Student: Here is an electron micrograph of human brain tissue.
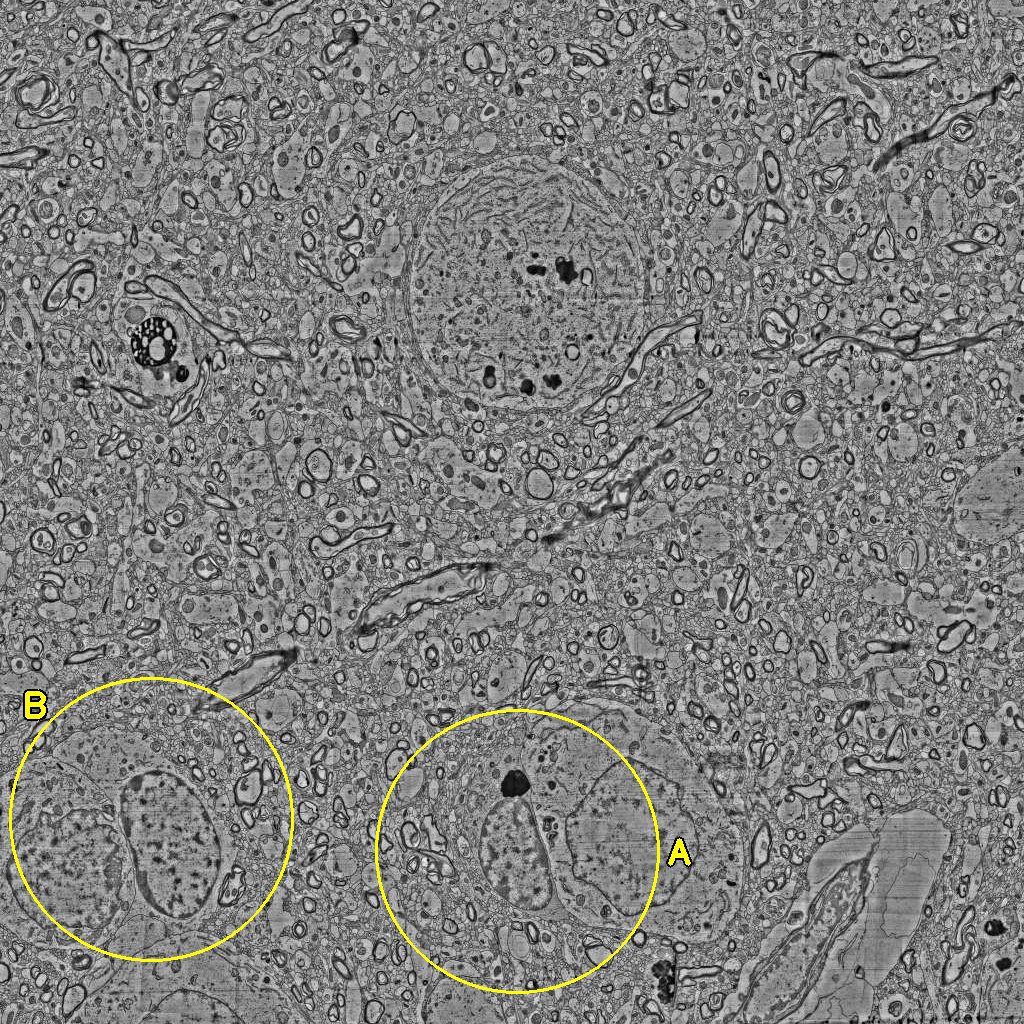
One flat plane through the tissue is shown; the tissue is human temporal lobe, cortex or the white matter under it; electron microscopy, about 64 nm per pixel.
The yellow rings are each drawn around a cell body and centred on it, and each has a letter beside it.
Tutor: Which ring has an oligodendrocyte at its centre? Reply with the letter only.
A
